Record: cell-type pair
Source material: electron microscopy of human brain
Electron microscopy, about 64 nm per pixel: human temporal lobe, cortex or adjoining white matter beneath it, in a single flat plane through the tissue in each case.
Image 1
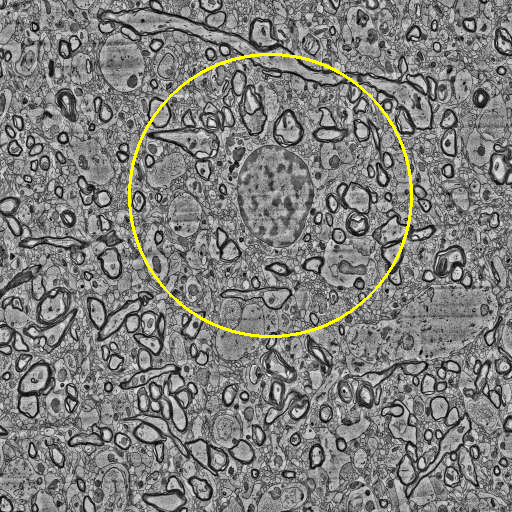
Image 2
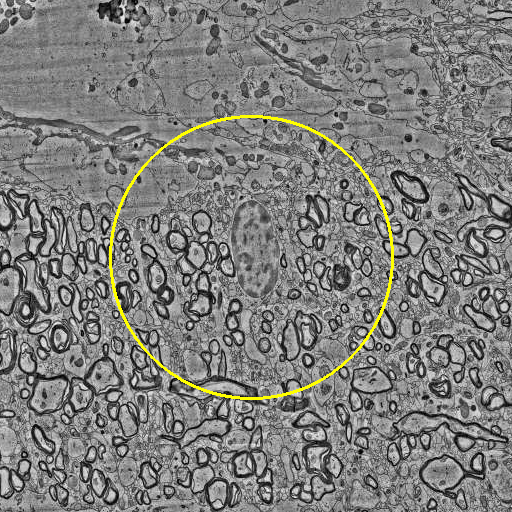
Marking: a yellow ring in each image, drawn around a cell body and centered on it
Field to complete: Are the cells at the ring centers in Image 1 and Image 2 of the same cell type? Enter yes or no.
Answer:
yes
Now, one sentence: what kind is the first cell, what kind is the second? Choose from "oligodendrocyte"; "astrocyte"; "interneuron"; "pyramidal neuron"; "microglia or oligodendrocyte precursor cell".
Each of the two pictures has a microglial cell or oligodendrocyte precursor cell at the ring centre.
